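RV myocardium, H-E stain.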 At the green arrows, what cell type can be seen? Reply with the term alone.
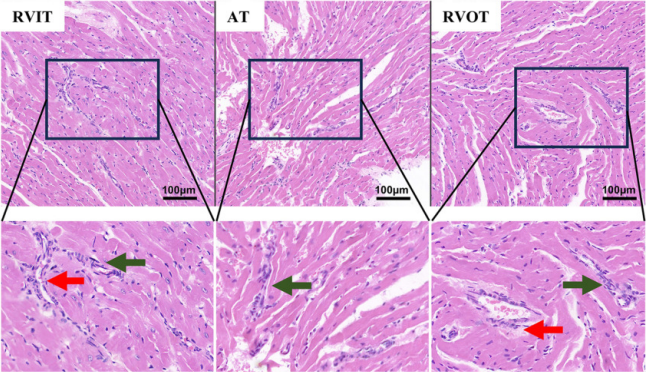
inflammatory cells in extracellular matrix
